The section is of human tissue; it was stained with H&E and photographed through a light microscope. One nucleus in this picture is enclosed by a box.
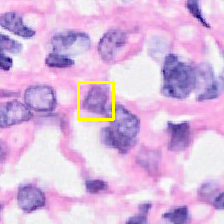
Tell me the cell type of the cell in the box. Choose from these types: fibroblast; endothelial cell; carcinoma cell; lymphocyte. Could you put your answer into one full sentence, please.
In cell-type terms, the cell in the box is a carcinoma cell.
